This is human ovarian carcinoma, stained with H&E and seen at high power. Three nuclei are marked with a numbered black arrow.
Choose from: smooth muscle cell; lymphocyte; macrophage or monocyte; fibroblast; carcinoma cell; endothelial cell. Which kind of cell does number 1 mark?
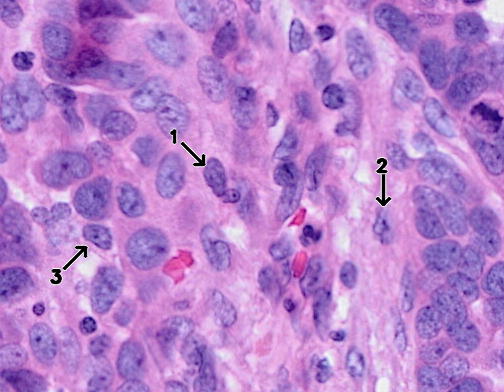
macrophage or monocyte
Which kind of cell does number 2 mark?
fibroblast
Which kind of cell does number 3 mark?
macrophage or monocyte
